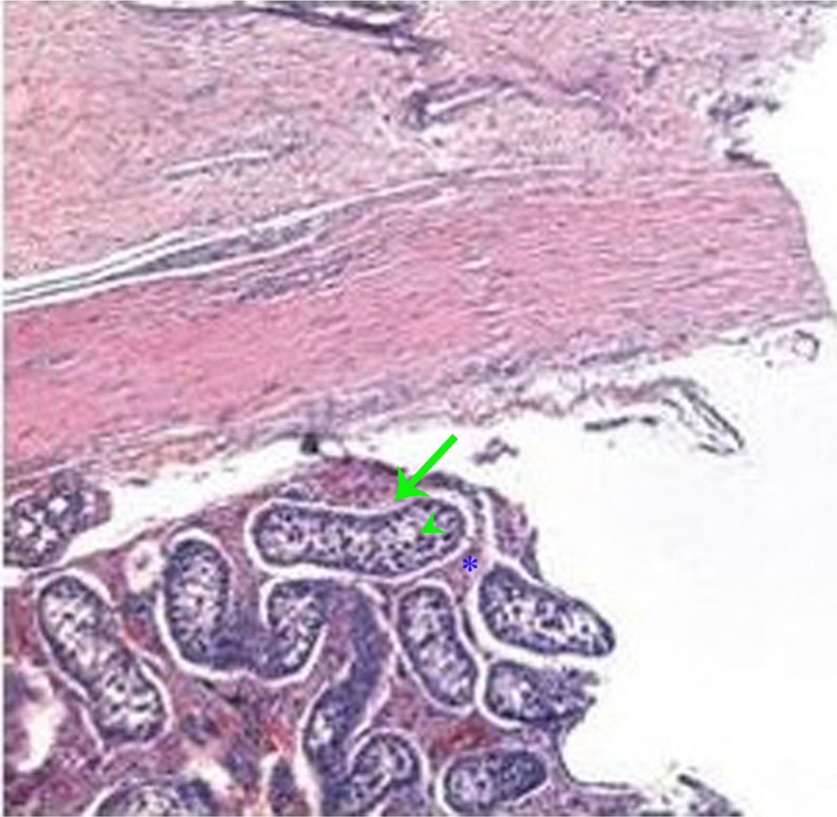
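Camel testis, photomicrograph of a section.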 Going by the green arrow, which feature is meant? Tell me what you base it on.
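Seminiferous tubule. The arrow points at an elongated tubular profile bounded by a thin membrane. Many similar tubule profiles lie packed together below a thick pink fibrous layer.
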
